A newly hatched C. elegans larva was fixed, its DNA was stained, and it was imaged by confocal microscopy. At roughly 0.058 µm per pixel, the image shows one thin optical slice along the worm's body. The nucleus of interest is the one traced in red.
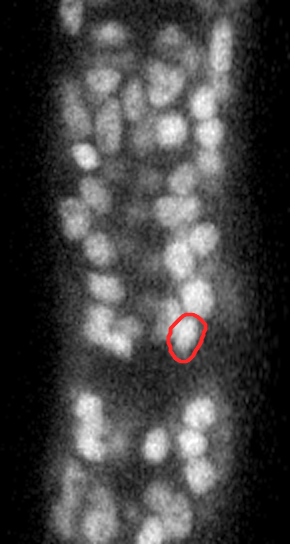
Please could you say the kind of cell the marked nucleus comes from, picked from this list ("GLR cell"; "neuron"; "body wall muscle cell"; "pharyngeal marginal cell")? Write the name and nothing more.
GLR cell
